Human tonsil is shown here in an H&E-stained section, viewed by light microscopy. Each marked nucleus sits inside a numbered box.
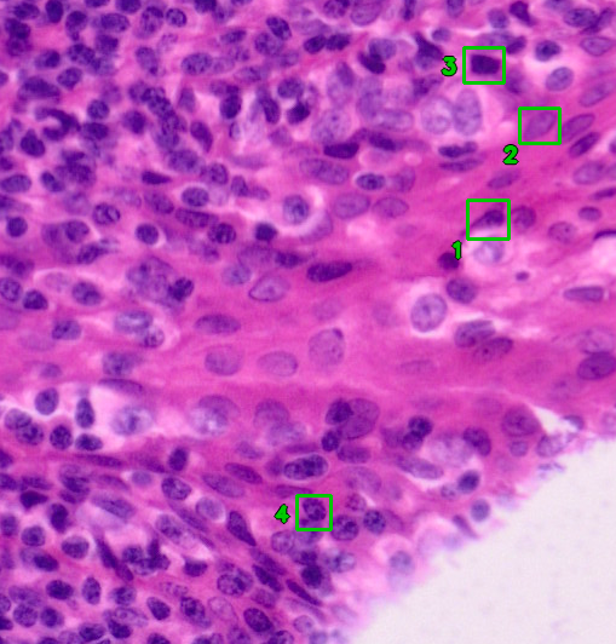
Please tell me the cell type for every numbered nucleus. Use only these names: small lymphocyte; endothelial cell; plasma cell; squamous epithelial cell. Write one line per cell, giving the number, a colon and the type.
1: squamous epithelial cell
2: squamous epithelial cell
3: squamous epithelial cell
4: plasma cell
